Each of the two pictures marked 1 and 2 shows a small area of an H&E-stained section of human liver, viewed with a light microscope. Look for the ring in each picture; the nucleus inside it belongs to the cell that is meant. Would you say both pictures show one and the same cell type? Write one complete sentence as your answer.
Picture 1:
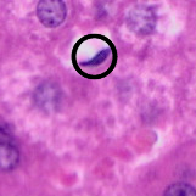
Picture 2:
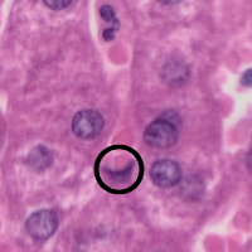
Yes, both are endothelial cells.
